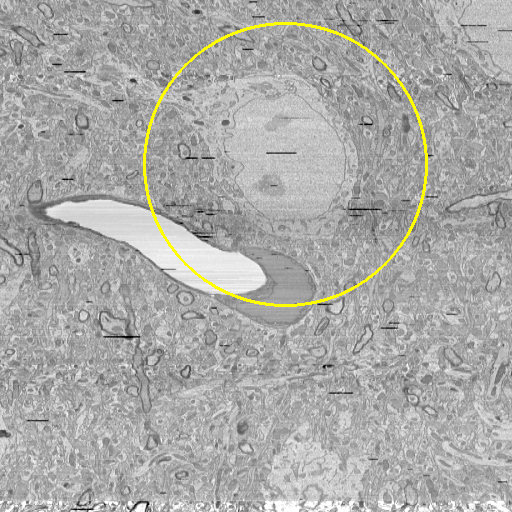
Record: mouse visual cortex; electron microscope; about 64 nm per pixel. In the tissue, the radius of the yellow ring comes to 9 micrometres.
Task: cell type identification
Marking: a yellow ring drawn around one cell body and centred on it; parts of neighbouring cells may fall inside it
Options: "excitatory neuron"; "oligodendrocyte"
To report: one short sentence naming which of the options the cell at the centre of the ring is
The cell at the centre of the ring is an excitatory neuron.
